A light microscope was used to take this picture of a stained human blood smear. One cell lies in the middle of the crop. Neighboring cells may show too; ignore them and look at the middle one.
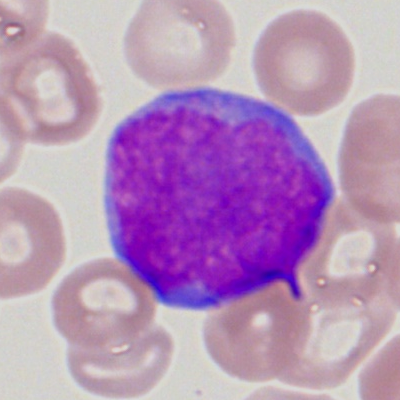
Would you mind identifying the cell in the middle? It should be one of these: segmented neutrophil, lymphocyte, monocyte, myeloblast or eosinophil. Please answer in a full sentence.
In the crop, the cell of interest at the centre is a myeloblast.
